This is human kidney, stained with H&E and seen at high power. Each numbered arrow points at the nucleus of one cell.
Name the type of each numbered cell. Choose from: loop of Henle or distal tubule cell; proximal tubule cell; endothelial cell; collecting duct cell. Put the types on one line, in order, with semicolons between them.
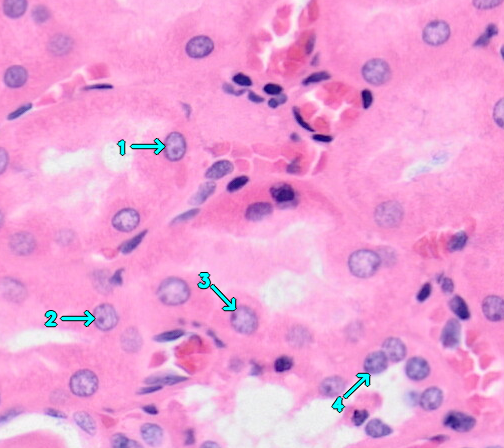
proximal tubule cell; proximal tubule cell; proximal tubule cell; loop of Henle or distal tubule cell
